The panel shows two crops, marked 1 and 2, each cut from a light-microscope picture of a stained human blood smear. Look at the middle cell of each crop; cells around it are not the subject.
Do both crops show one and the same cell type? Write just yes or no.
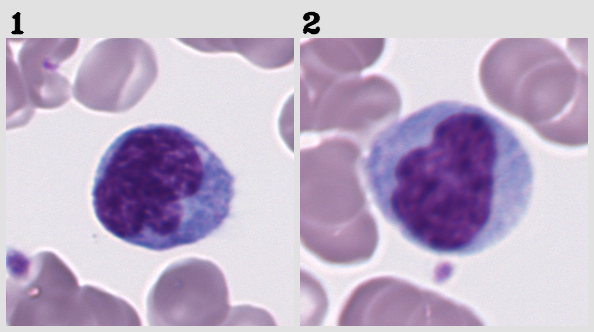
yes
